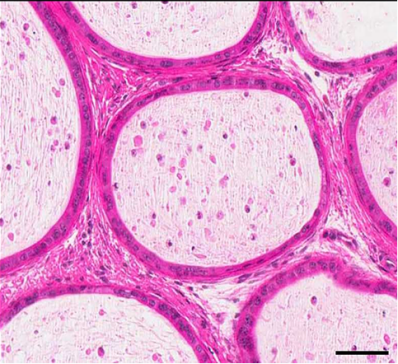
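These are cross-sections of wide epididymal ducts lined by a low epithelium with a single row of dark nuclei and surrounded by pink smooth muscle and connective tissue. The lumina contain no sperm; instead they hold pale pink, wispy proteinaceous material with scattered rounded pink bodies of cellular debris.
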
